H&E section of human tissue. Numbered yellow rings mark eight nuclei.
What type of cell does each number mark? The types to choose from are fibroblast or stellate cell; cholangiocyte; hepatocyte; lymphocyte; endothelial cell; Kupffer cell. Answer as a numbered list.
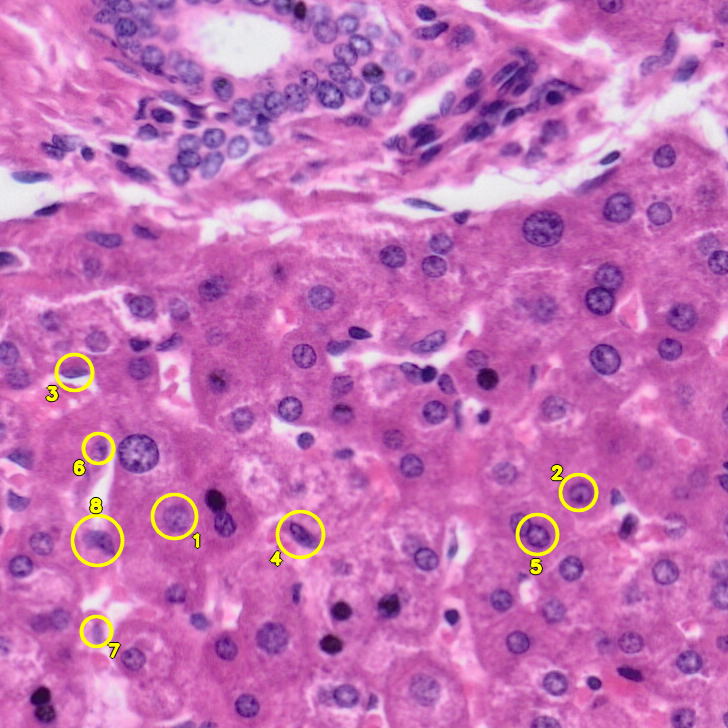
1. hepatocyte
2. hepatocyte
3. endothelial cell
4. Kupffer cell
5. hepatocyte
6. Kupffer cell
7. Kupffer cell
8. endothelial cell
